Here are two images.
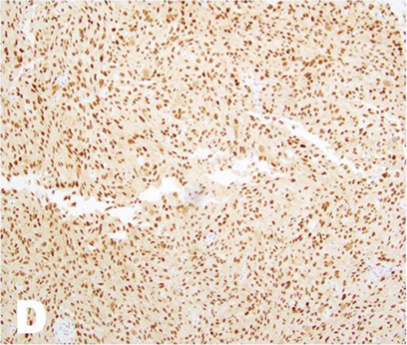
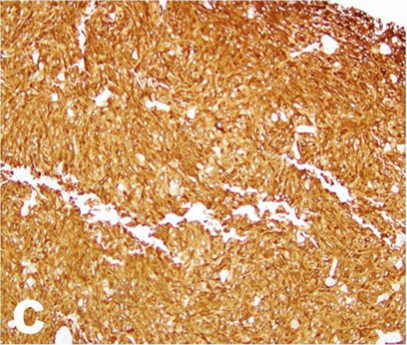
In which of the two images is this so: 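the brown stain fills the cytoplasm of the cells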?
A: The second image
